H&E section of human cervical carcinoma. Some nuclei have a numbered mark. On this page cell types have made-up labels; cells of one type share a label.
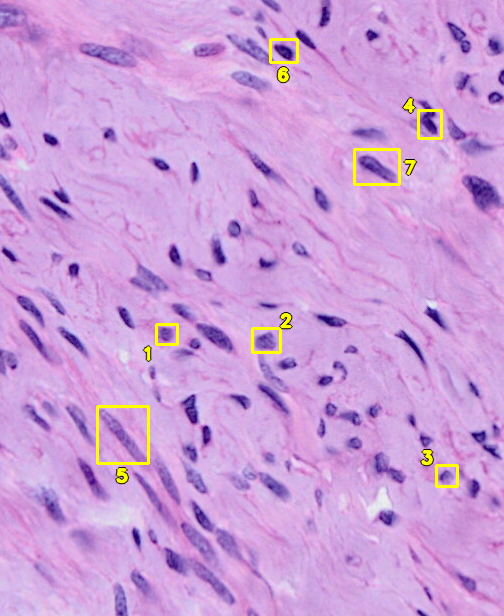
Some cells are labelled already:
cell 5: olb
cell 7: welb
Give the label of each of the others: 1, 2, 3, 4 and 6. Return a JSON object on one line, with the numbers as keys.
{"1": "olb", "2": "welb", "3": "olb", "4": "welb", "6": "welb"}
